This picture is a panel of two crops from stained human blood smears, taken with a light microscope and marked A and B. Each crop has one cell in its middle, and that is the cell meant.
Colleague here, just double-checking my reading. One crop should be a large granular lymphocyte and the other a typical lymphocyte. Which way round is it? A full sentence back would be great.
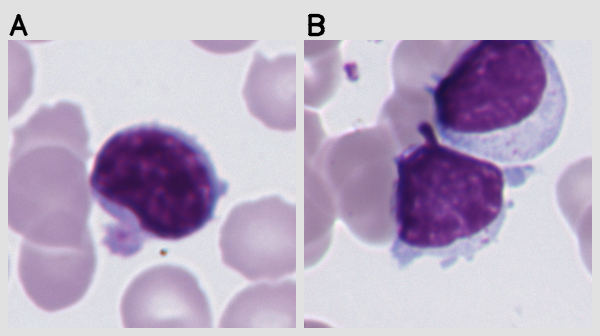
Crops A and B are, respectively, a typical lymphocyte and a large granular lymphocyte.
